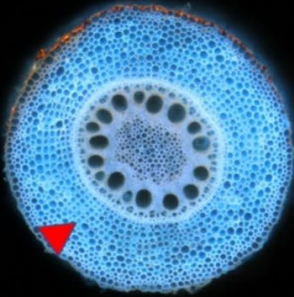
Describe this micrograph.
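This cross-section of a root shows a wide cortex of cortical parenchyma surrounding a central cylinder. The cortical cells are rounded and thin-walled, packed in many concentric layers with only small spaces between them, and they become somewhat smaller towards the outer surface. A thin, brighter line of cells borders the cortex on the inside, enclosing the central cylinder. Within the central cylinder a ring of large round vessel openings lies around a core of small cells. The outer surface shows a thin rim with reddish-brown traces.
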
